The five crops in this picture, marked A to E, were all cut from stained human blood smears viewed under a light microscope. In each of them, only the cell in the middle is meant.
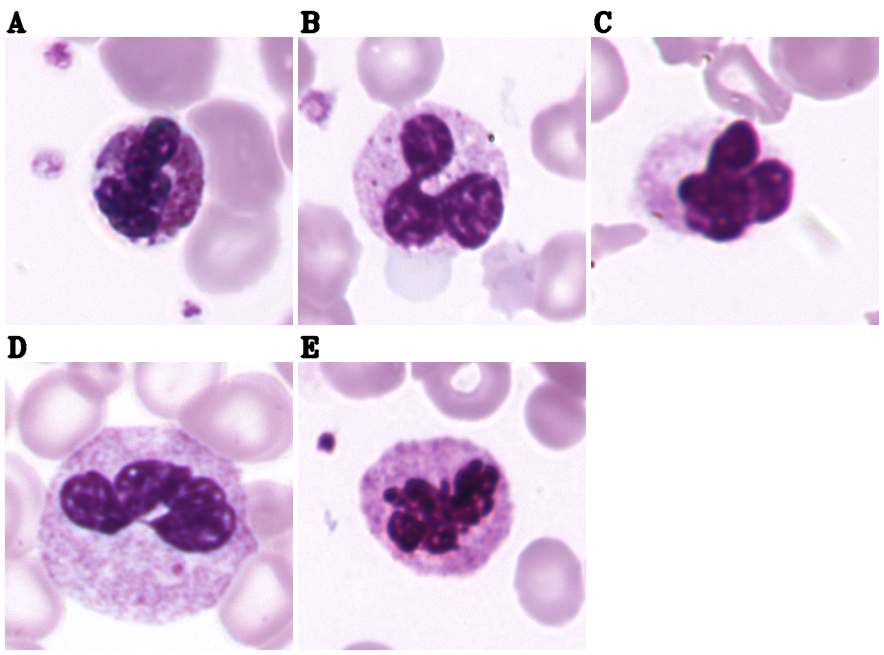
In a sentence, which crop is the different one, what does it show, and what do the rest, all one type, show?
Crop A is an eosinophil, the one exception to the neutrophils of the other crops.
